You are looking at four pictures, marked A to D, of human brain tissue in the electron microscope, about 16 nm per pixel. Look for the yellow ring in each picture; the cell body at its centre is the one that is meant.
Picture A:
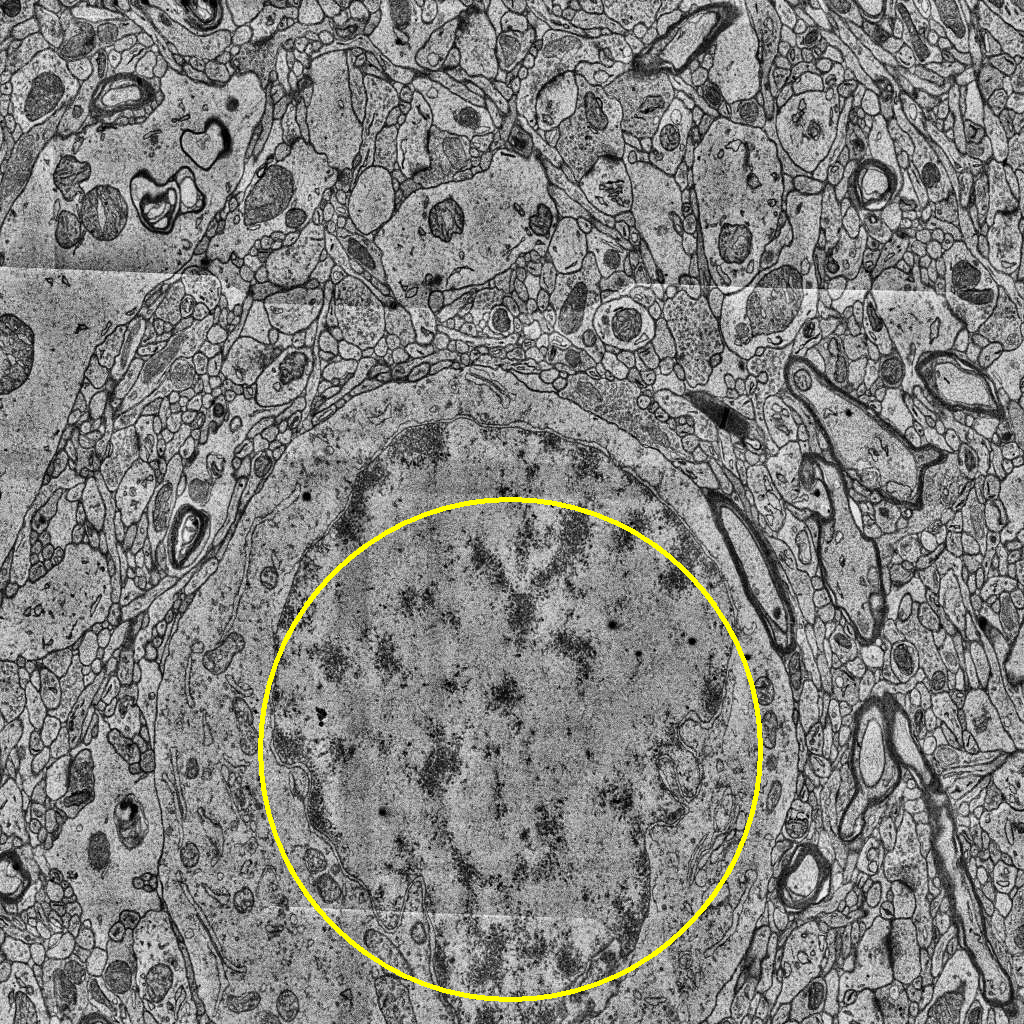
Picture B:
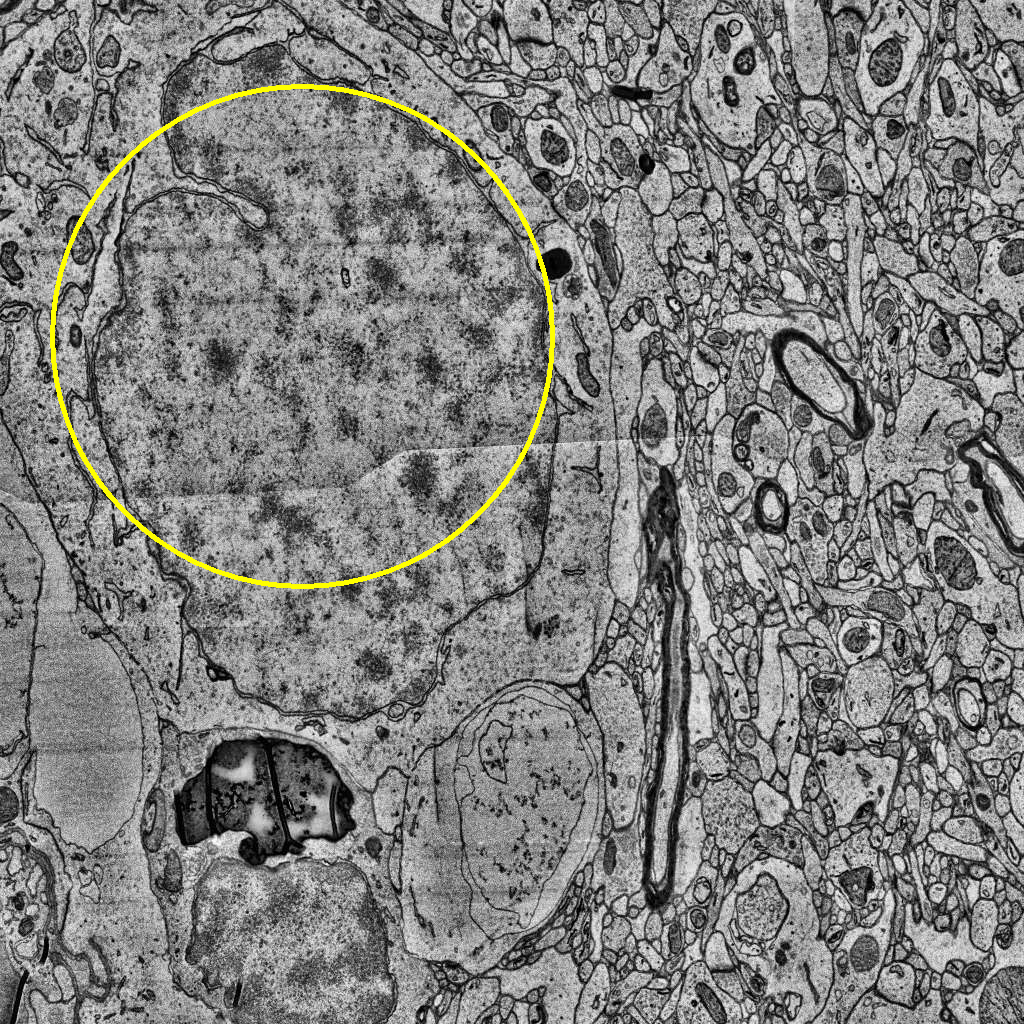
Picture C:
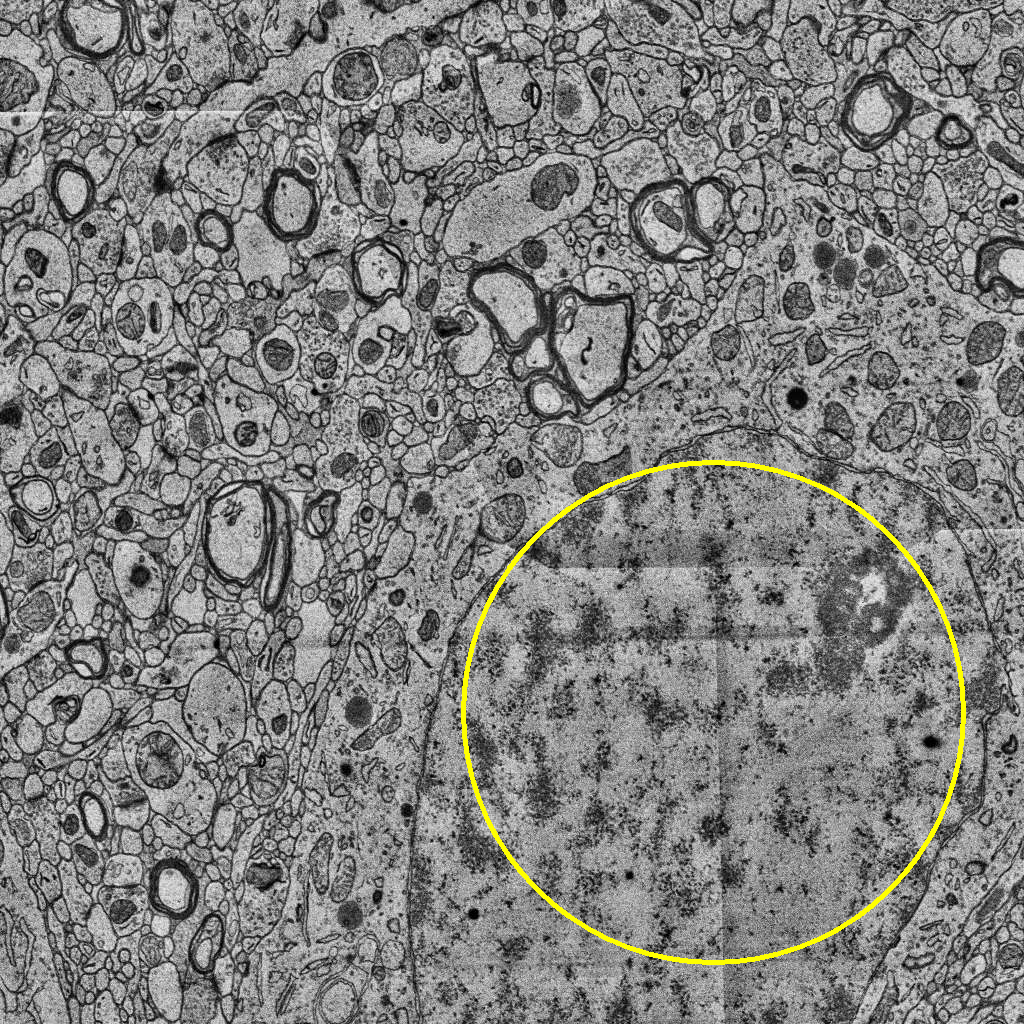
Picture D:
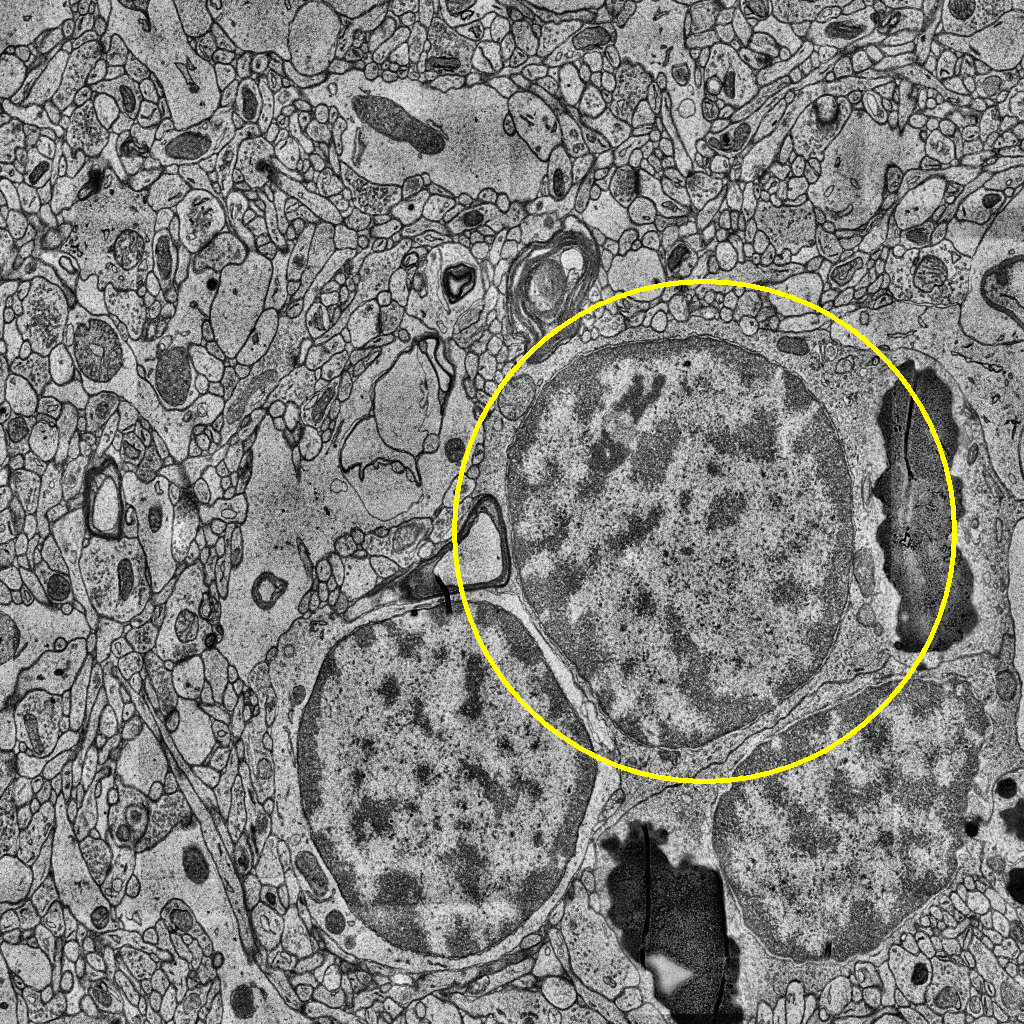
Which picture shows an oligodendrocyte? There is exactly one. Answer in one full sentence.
The cell in picture D is the oligodendrocyte.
